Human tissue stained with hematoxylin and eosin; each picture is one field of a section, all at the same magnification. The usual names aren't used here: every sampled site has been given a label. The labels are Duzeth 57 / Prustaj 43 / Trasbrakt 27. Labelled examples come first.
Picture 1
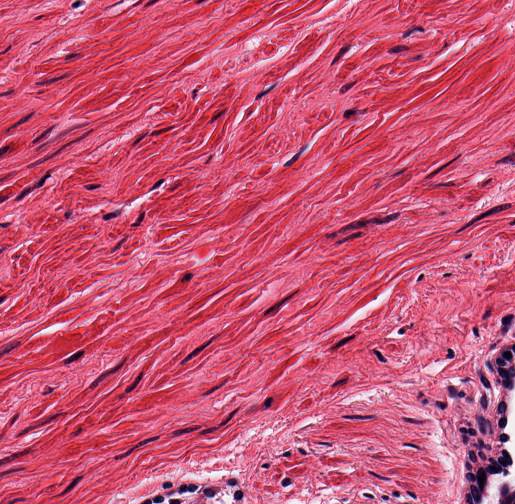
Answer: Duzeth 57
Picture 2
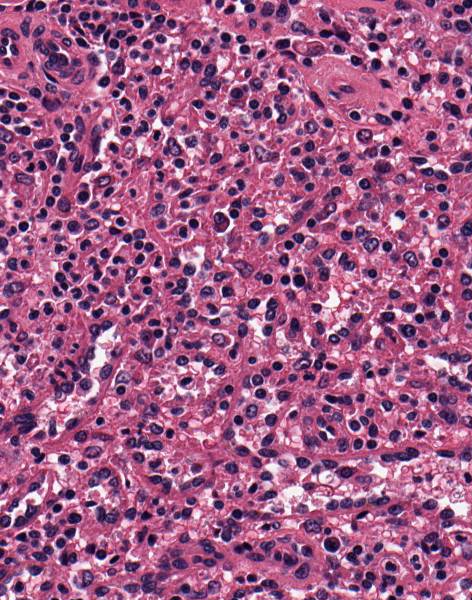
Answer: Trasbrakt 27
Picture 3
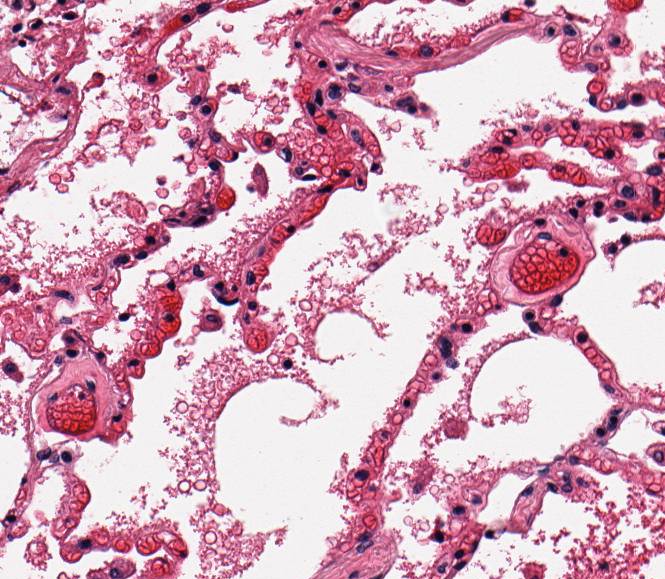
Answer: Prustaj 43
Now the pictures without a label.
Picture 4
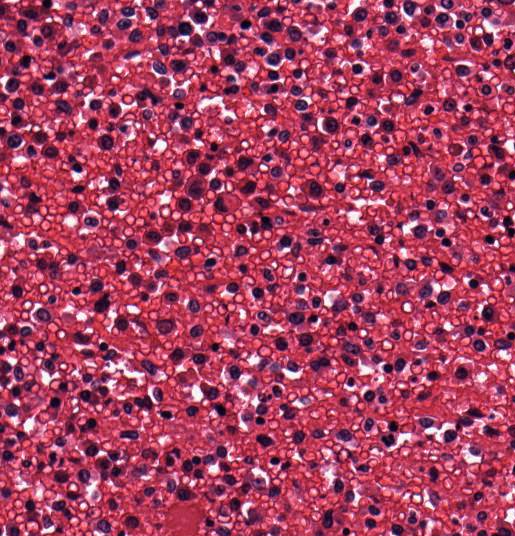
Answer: Trasbrakt 27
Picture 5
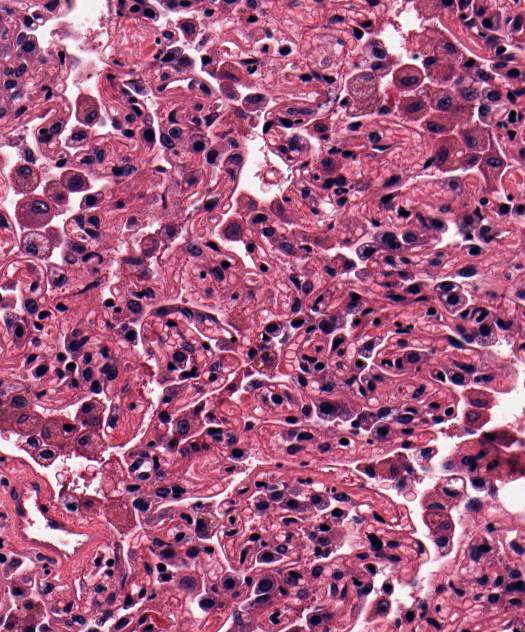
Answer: Prustaj 43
